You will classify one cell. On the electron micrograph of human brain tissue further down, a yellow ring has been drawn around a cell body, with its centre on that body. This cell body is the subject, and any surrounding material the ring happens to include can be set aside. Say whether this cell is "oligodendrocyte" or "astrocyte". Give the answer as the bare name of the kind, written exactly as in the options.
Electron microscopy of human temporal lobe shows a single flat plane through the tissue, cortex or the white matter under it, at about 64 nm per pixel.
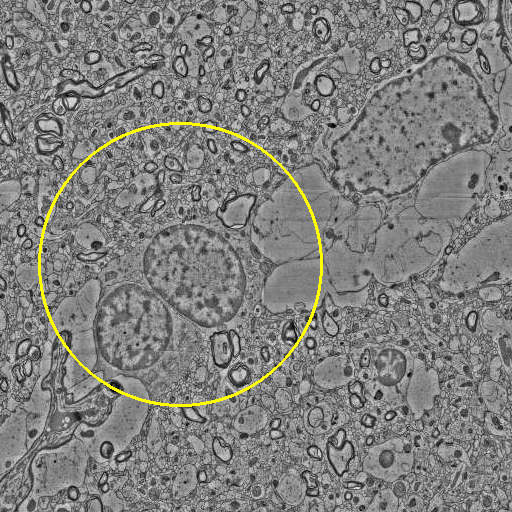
oligodendrocyte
